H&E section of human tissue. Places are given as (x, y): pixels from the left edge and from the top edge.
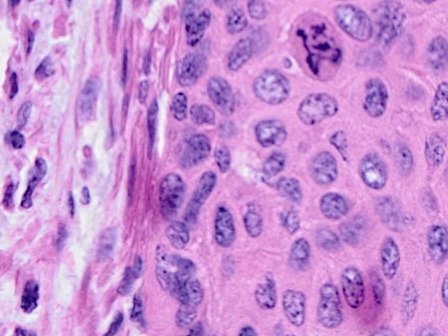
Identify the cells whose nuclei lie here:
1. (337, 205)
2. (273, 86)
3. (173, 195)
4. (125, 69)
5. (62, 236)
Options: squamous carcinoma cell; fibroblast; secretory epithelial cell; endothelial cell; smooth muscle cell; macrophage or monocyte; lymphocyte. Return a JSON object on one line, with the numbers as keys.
{"1": "squamous carcinoma cell", "2": "squamous carcinoma cell", "3": "squamous carcinoma cell", "4": "fibroblast", "5": "fibroblast"}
